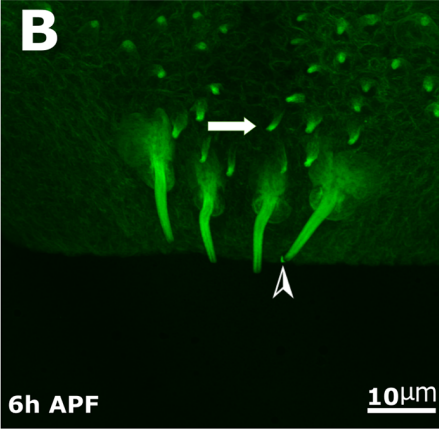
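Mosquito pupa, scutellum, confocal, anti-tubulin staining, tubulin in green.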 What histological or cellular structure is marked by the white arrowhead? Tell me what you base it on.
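The arrowhead points to the tip of a long, tapering green projection. These long projections arise from broad bulbous bases and are much larger than the small ones above. That points to this answer: bristles.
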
